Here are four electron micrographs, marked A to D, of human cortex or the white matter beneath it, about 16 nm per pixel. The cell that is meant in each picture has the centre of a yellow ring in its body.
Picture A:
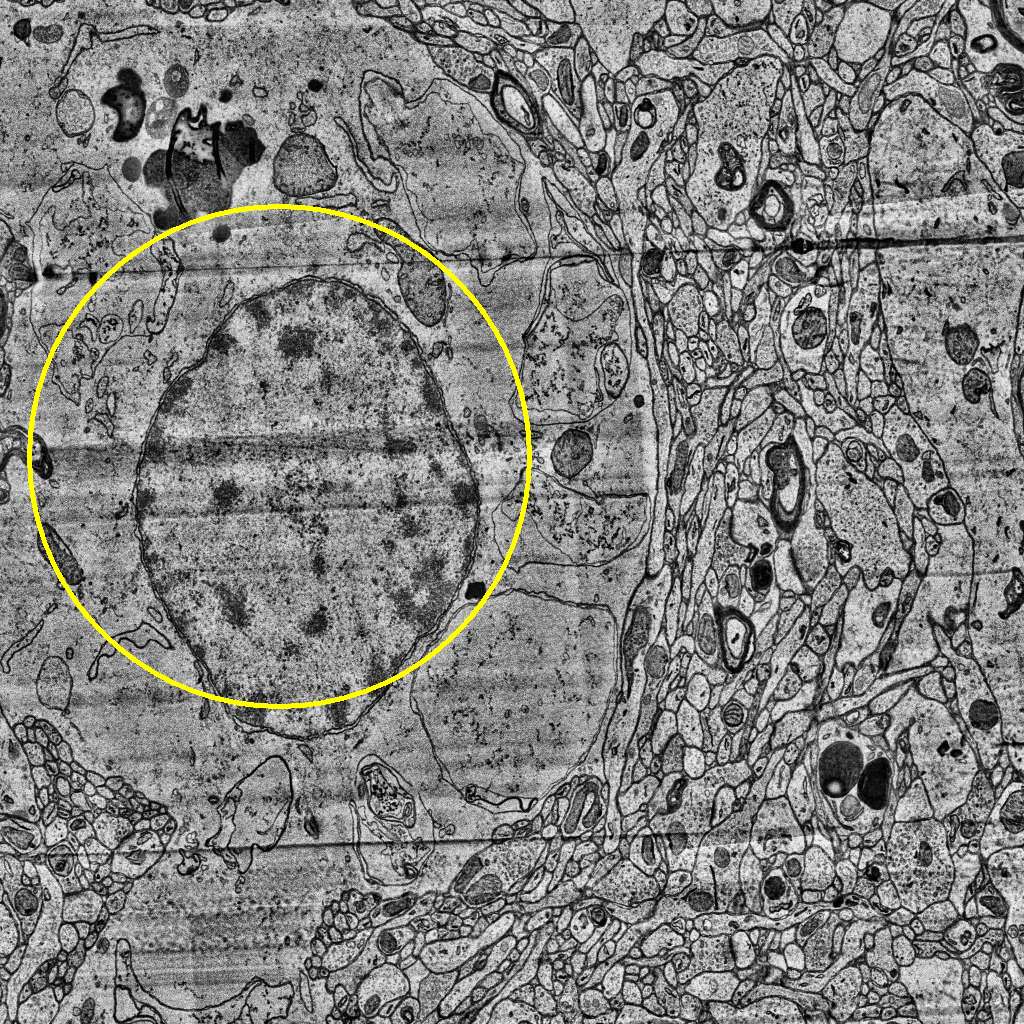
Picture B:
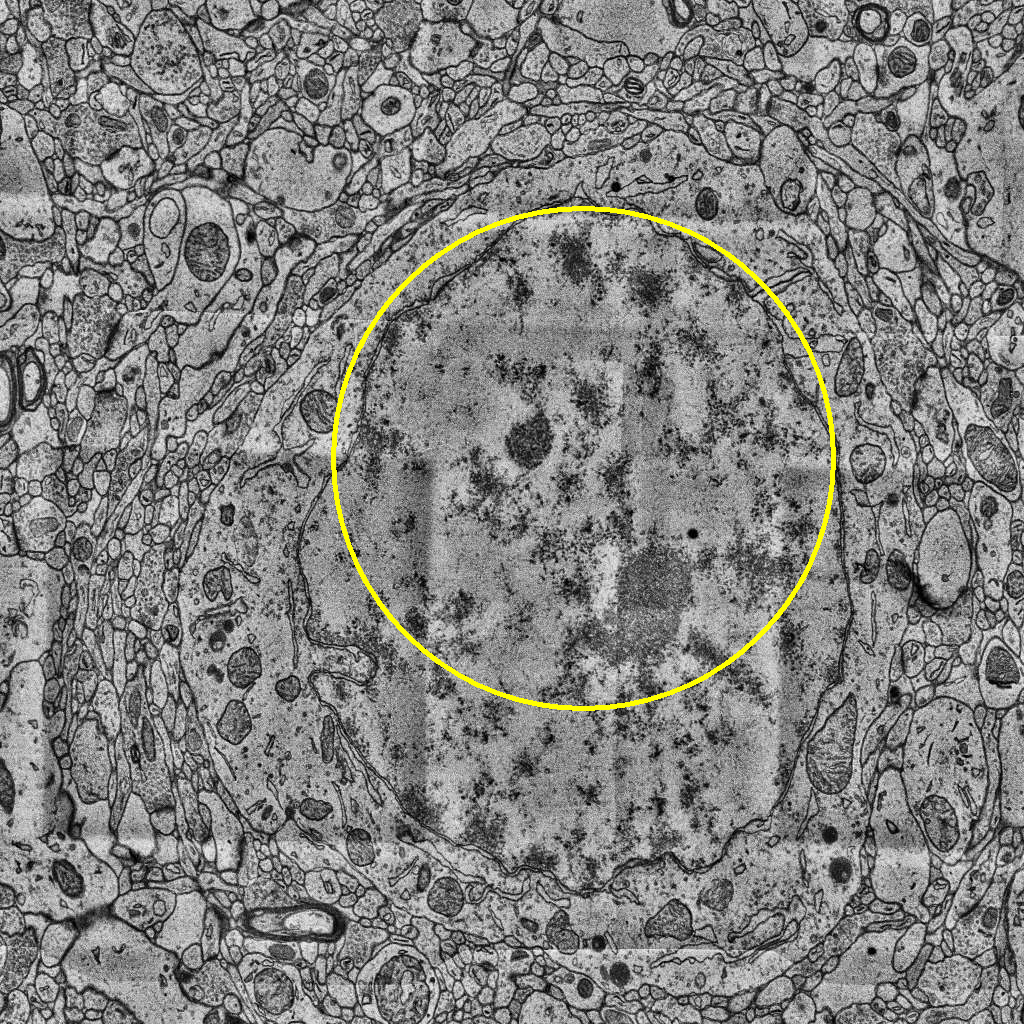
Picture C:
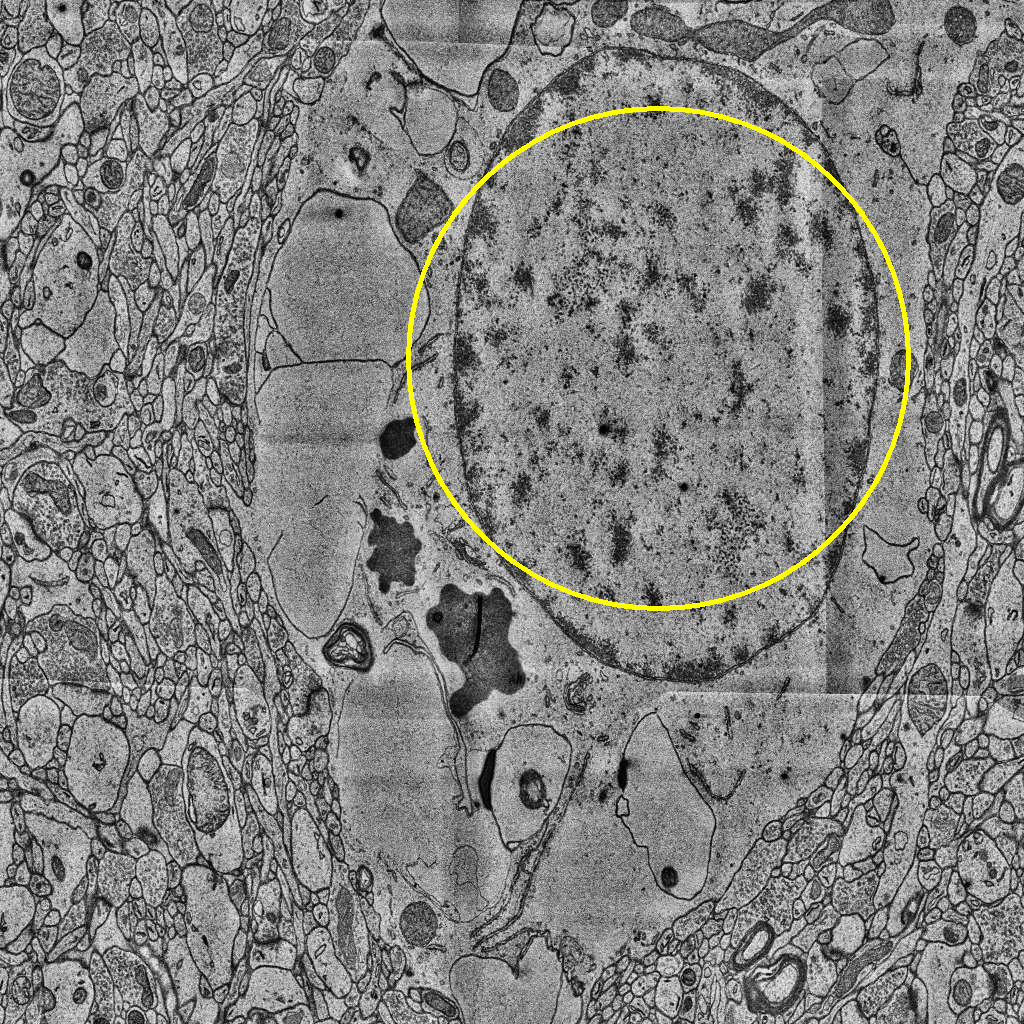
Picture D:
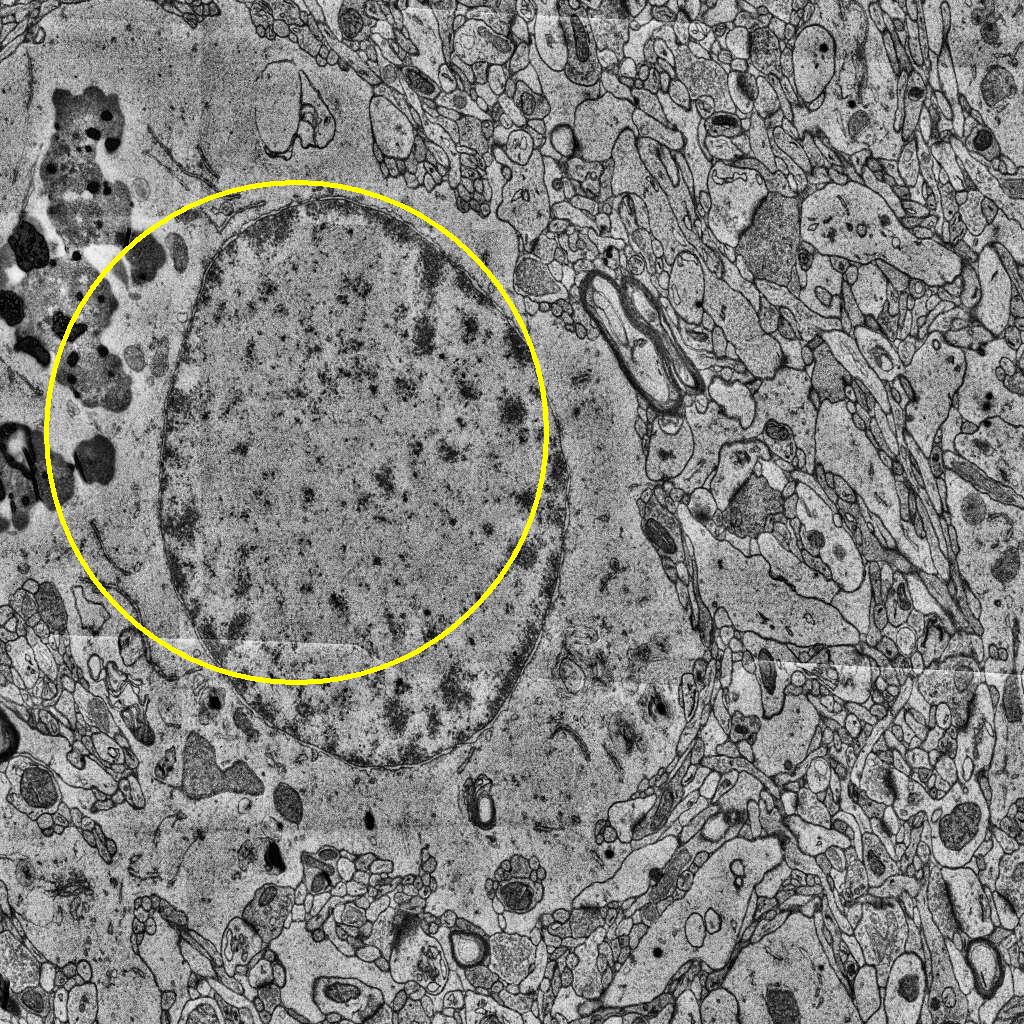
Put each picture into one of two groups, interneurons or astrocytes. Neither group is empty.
Picture B shows an interneuron, and pictures A, C and D show astrocytes.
